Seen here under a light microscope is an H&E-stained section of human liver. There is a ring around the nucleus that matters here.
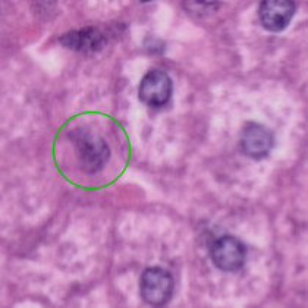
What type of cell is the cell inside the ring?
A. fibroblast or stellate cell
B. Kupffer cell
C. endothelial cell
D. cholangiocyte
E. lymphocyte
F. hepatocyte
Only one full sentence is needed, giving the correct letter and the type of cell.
The correct choice is option C; the cell inside the ring is an endothelial cell.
